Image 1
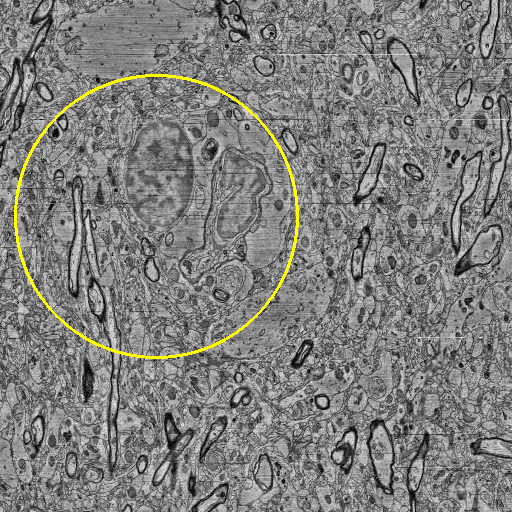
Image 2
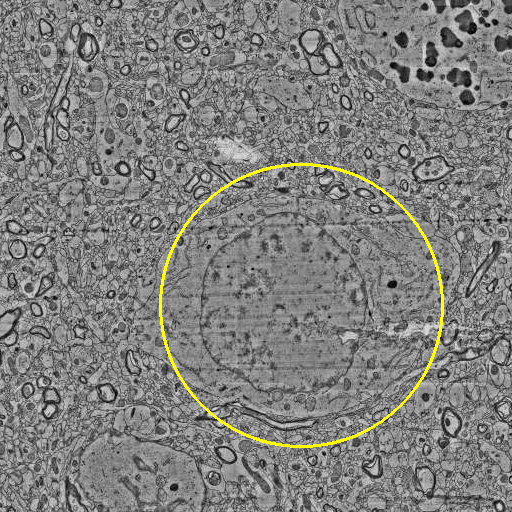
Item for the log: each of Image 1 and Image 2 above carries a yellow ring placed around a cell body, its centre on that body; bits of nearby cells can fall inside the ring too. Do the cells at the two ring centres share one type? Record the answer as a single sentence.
No, the two cells at the ring centres in Image 1 and Image 2 are of two types.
